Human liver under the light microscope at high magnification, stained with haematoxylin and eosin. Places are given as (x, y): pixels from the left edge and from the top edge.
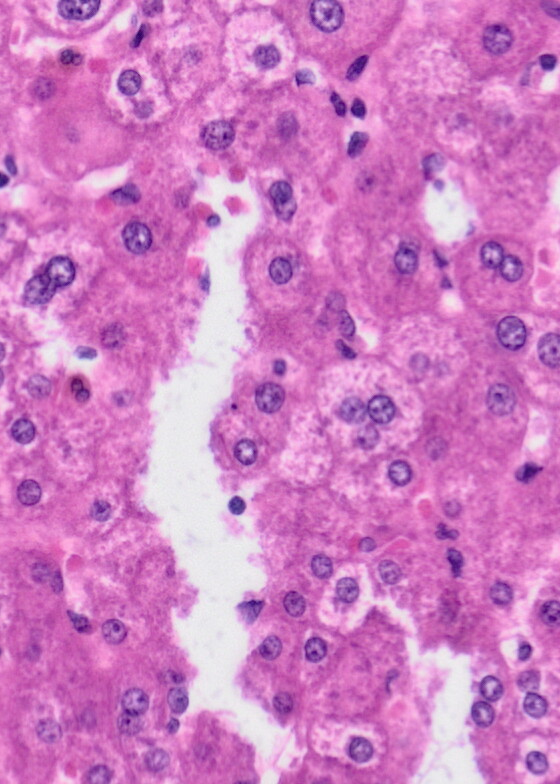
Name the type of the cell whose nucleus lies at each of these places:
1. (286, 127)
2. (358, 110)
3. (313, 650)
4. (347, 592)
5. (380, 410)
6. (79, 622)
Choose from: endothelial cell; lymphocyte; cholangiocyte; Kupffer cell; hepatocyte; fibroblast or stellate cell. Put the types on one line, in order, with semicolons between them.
hepatocyte; lymphocyte; hepatocyte; hepatocyte; hepatocyte; endothelial cell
